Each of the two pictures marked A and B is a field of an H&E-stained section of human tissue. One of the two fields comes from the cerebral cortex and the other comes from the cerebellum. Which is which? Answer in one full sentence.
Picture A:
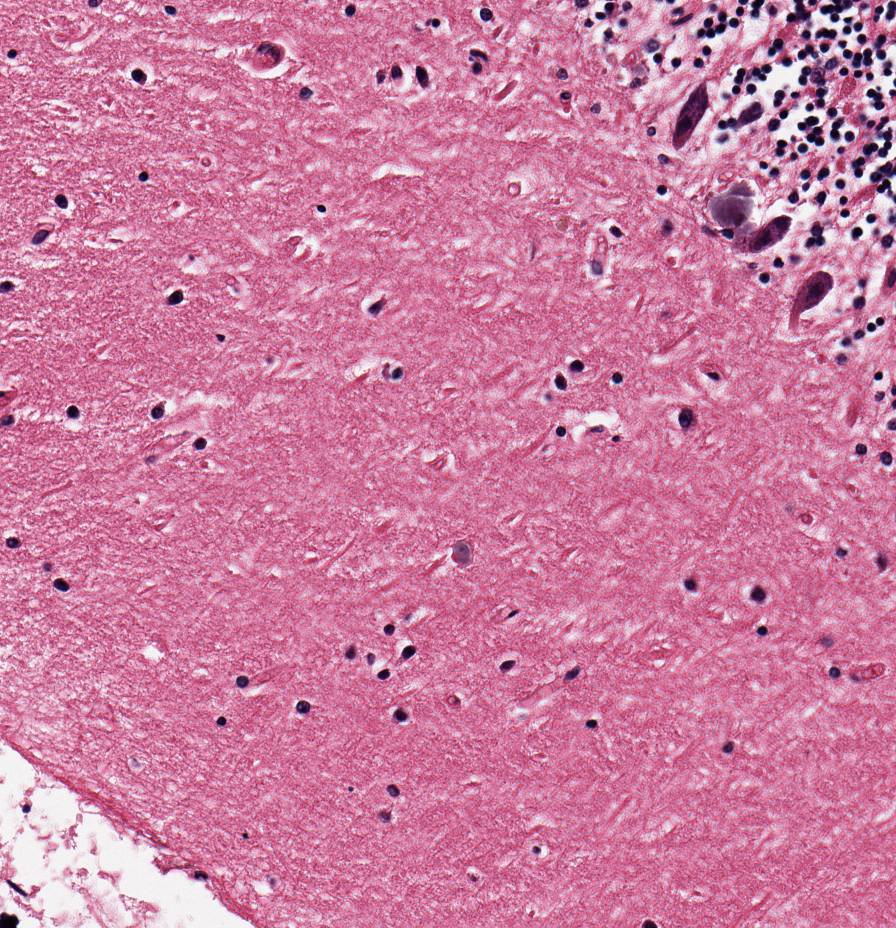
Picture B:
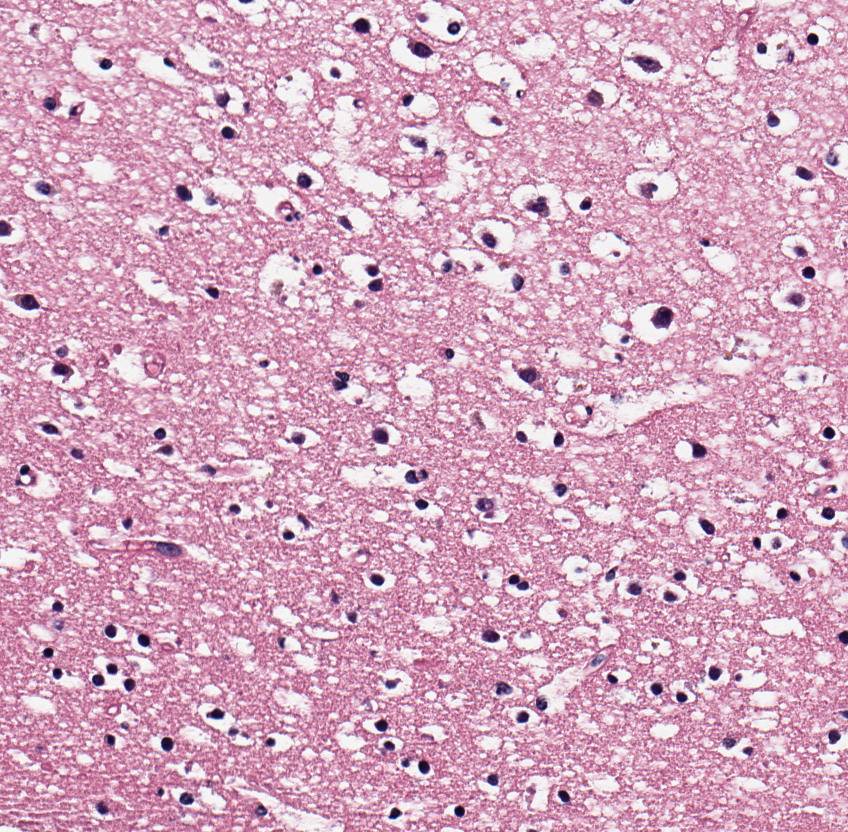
Picture A comes from the cerebellum and picture B comes from the cerebral cortex.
